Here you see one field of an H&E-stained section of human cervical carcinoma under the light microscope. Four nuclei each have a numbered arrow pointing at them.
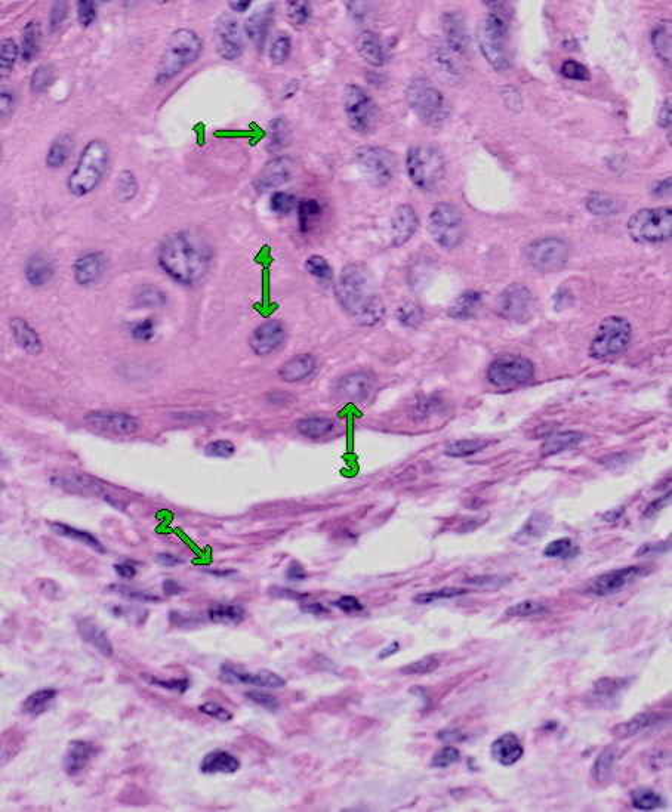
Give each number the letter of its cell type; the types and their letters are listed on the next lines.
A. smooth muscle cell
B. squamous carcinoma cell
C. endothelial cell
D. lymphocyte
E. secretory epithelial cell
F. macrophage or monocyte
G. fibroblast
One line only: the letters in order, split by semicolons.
B; G; B; B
